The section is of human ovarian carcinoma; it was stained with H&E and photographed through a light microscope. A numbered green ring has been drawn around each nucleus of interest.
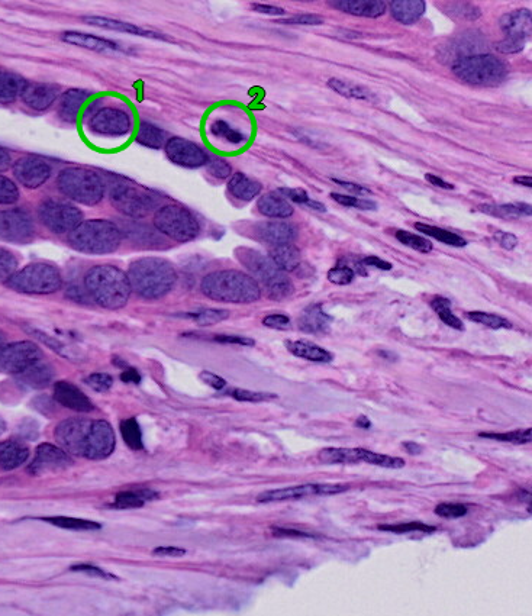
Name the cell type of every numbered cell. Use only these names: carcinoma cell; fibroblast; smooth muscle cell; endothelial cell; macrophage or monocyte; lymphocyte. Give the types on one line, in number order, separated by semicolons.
carcinoma cell; lymphocyte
